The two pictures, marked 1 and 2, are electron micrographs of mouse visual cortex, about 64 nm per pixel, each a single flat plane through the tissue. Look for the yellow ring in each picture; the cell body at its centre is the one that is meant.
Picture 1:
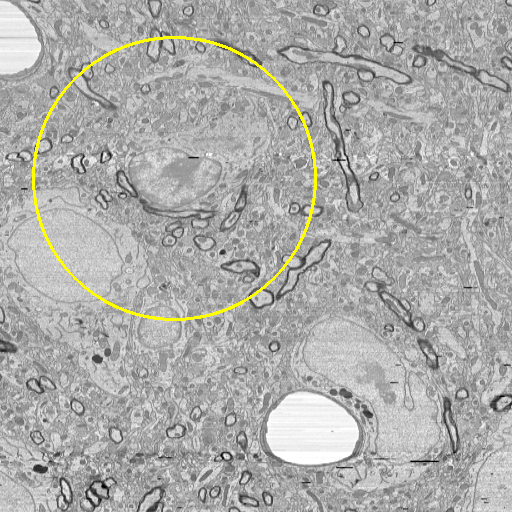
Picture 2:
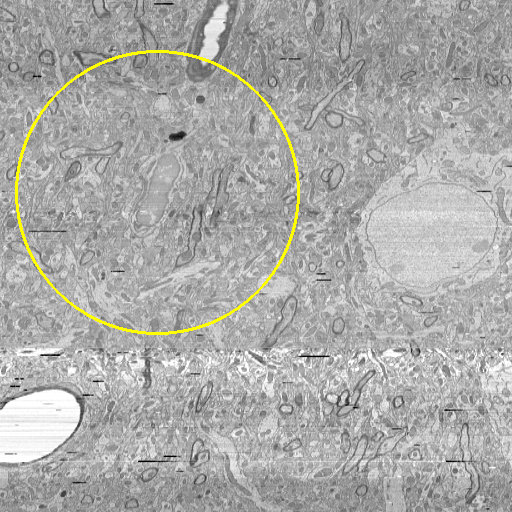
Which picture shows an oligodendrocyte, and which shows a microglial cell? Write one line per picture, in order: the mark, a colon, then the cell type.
1: oligodendrocyte
2: microglial cell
